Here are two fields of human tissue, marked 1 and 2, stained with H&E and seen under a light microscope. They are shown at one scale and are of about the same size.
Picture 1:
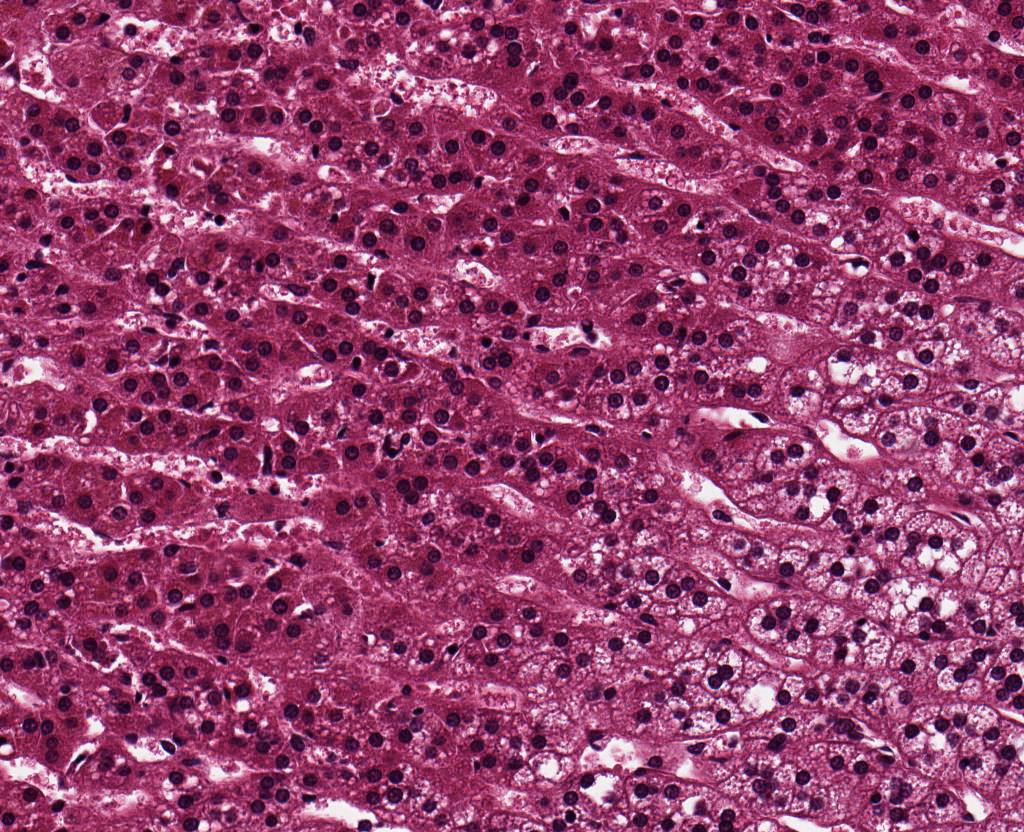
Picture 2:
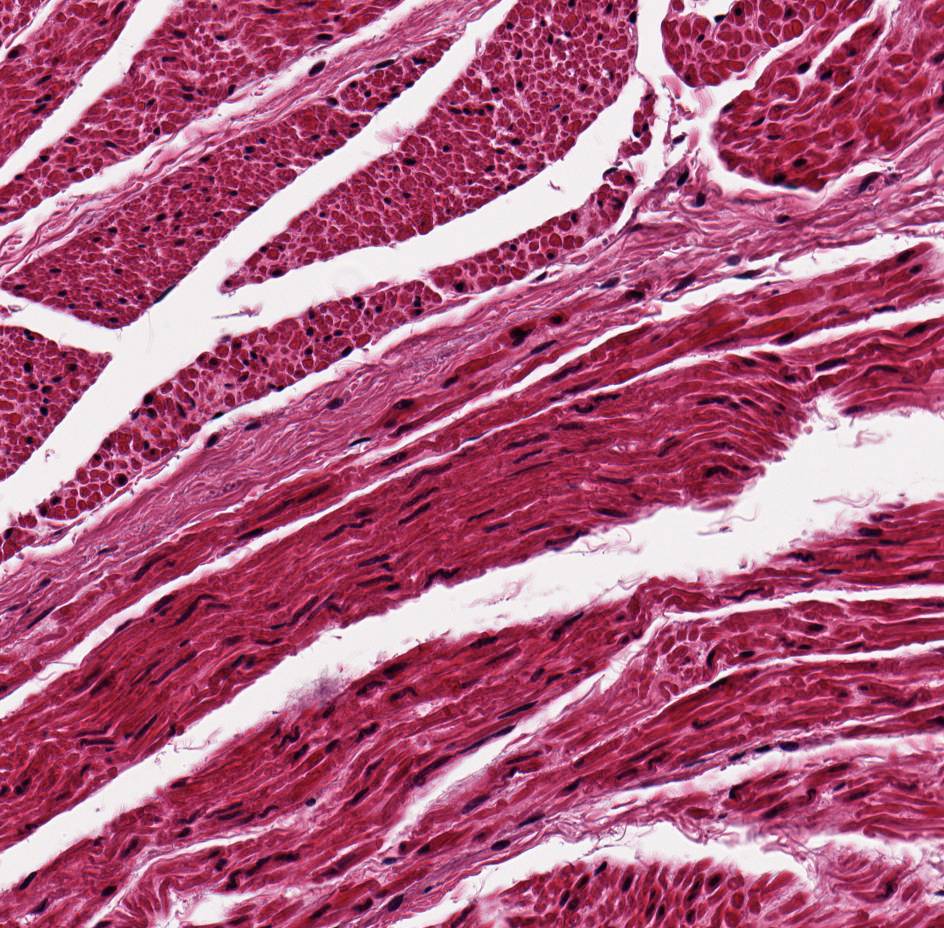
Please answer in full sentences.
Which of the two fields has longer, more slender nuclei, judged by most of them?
On the whole the nuclei of picture 2 are more drawn out than those of picture 1.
